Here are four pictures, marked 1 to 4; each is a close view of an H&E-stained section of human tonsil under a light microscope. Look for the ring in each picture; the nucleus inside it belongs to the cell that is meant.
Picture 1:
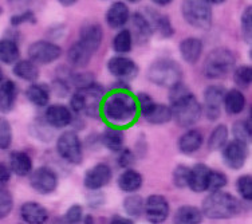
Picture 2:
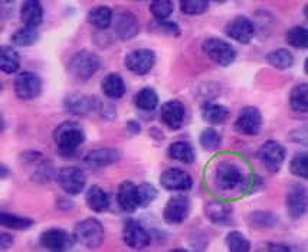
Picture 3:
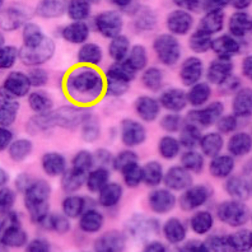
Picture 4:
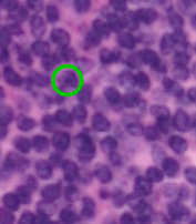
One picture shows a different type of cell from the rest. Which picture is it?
2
